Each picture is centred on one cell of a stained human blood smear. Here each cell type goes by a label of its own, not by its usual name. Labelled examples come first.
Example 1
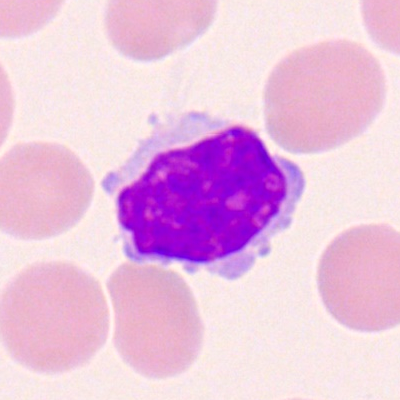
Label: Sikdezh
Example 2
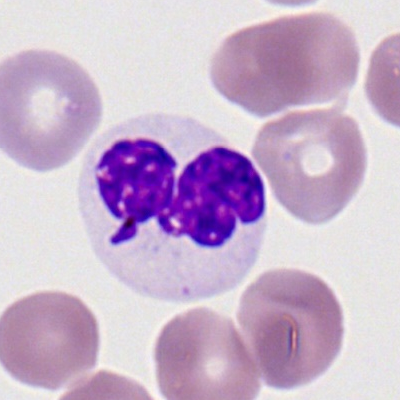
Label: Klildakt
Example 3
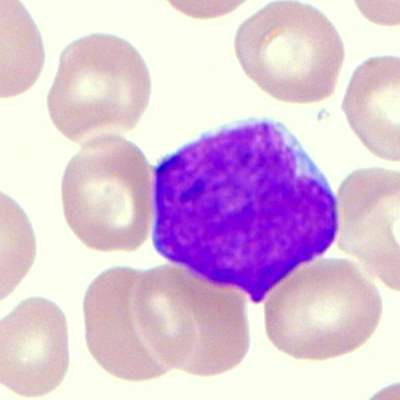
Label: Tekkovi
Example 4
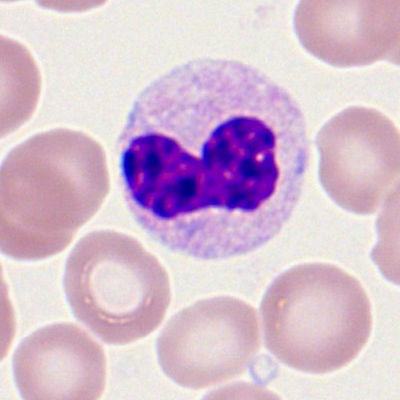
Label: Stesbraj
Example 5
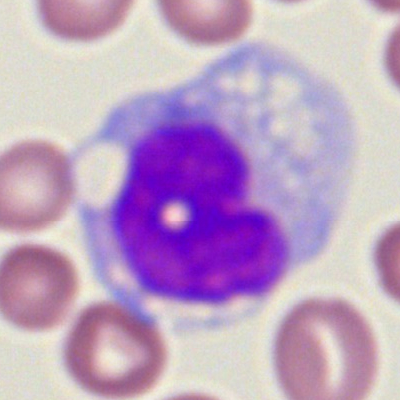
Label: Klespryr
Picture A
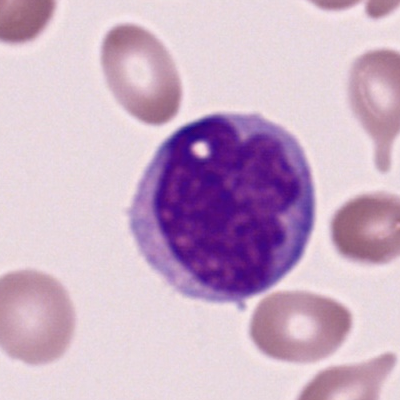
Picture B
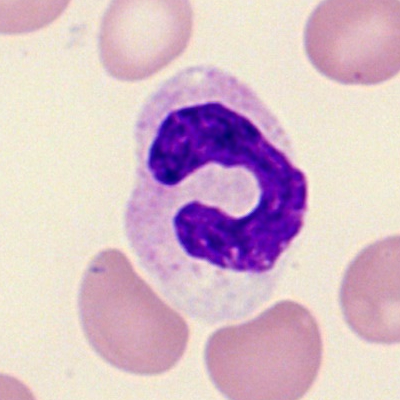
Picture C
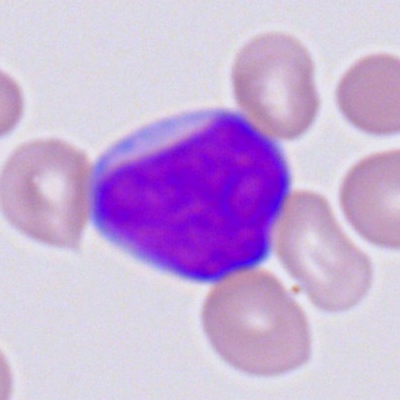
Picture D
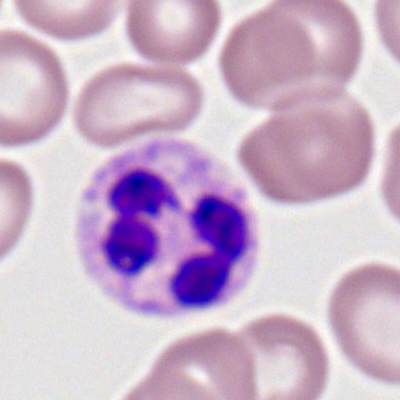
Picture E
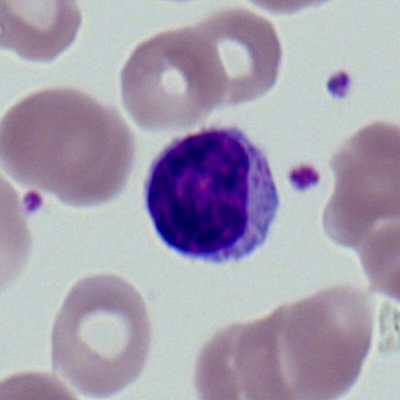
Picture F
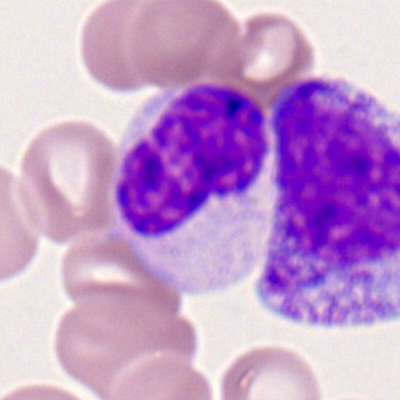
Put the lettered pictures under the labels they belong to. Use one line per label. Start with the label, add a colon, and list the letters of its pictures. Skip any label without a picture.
Sikdezh: E
Klildakt: D
Tekkovi: C
Stesbraj: B, F
Klespryr: A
